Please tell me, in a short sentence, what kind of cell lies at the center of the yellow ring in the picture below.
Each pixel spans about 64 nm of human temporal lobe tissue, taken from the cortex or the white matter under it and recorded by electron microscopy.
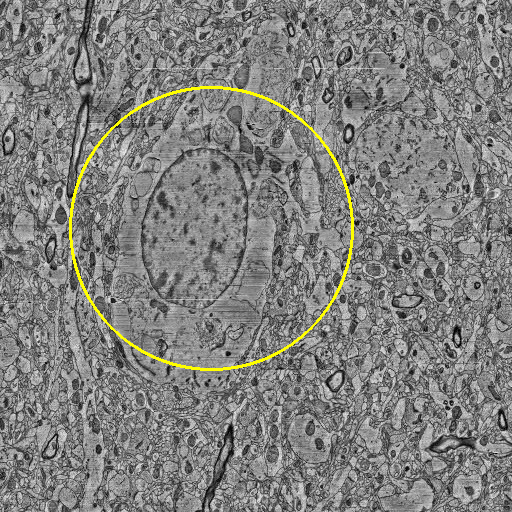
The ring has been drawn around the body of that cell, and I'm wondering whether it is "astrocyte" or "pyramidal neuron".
The cell at the center of the ring is an astrocyte.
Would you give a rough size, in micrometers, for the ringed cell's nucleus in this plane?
The nucleus is approximately 11 micrometres long but only about 7 wide, clearly longer than it is wide in this plane.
